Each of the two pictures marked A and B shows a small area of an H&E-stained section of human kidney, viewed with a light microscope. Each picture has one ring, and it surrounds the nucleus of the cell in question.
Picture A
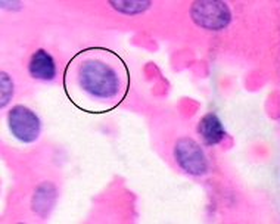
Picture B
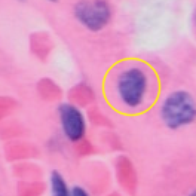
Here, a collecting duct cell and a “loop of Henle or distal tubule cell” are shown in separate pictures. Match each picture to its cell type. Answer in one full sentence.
Picture A is of a collecting duct cell, and picture B is of a “loop of Henle or distal tubule cell”.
